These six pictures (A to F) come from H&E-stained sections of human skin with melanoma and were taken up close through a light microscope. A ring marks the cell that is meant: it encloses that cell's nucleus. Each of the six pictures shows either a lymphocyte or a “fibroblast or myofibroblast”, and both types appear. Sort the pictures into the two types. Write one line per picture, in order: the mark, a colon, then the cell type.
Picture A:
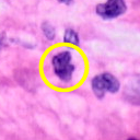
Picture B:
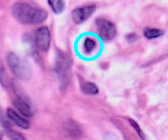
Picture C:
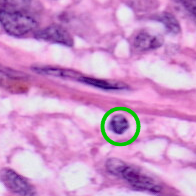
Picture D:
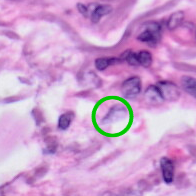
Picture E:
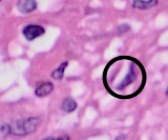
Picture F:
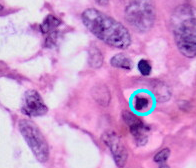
A: lymphocyte
B: lymphocyte
C: lymphocyte
D: fibroblast or myofibroblast
E: fibroblast or myofibroblast
F: lymphocyte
